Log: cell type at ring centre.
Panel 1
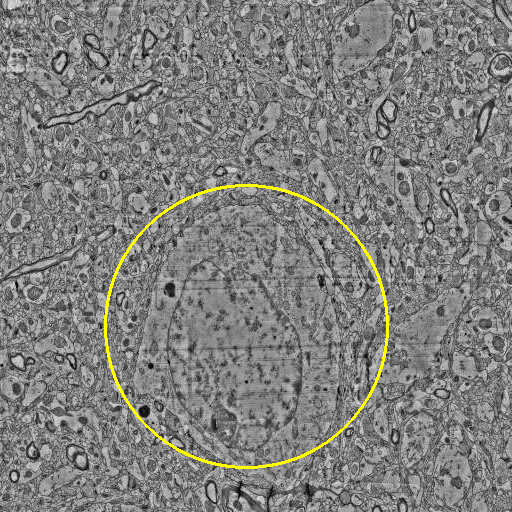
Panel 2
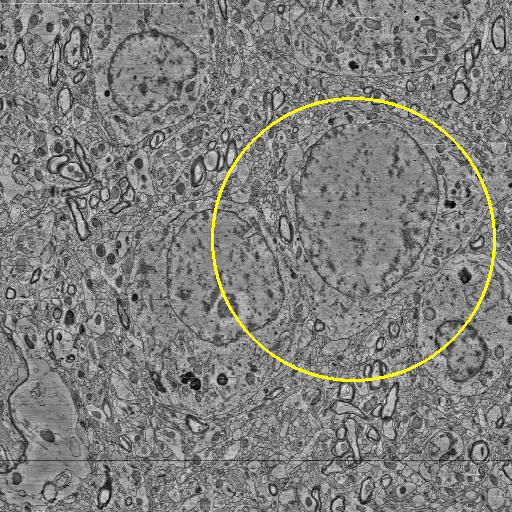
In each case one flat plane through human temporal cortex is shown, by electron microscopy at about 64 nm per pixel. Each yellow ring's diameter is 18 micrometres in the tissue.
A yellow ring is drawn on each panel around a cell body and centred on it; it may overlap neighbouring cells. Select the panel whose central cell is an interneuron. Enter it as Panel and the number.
Panel 1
